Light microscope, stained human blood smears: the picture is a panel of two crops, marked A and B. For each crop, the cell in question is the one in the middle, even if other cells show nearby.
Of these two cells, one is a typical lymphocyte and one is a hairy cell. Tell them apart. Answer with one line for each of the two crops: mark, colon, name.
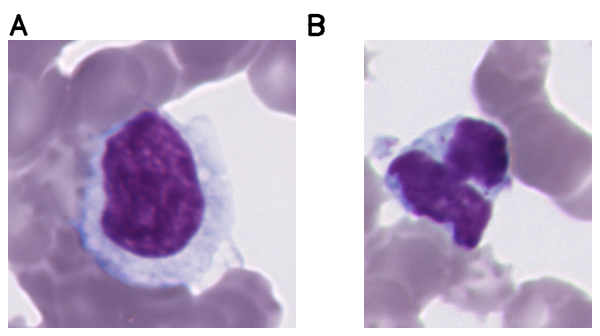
A: hairy cell
B: typical lymphocyte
